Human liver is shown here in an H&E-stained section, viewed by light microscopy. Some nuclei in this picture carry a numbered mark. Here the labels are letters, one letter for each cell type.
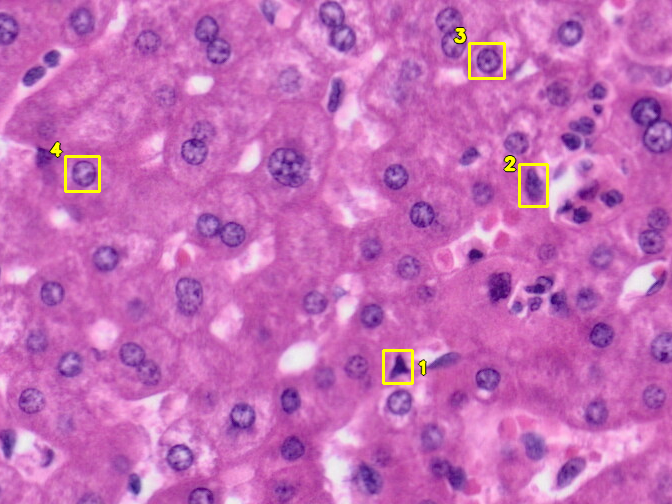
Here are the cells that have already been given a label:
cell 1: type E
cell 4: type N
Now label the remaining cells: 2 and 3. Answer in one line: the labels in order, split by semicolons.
type E; type N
